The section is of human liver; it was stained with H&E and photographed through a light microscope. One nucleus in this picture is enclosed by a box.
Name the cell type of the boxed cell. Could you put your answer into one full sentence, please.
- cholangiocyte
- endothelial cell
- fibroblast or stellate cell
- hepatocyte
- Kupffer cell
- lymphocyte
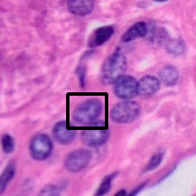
In the tissue under study, the boxed cell is a cholangiocyte.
